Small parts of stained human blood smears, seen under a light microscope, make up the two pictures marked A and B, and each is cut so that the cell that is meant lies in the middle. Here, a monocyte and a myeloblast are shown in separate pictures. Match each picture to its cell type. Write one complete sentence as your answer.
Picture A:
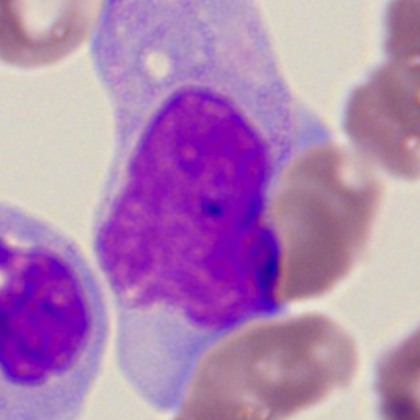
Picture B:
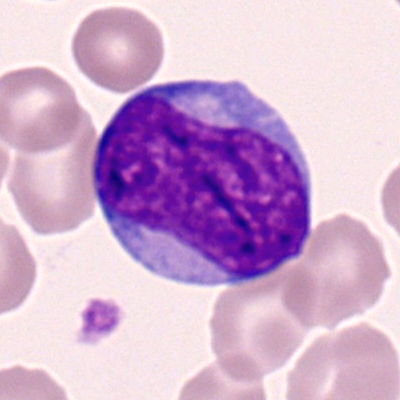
Picture B shows a myeloblast, while picture A shows a monocyte.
